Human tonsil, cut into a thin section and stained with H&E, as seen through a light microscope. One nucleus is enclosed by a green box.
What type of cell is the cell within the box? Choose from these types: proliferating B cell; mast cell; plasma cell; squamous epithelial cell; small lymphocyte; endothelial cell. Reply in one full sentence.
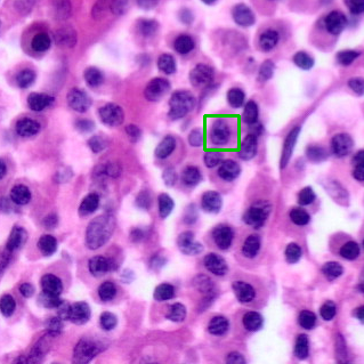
The category to which the cell within the box belongs is that of a plasma cell.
